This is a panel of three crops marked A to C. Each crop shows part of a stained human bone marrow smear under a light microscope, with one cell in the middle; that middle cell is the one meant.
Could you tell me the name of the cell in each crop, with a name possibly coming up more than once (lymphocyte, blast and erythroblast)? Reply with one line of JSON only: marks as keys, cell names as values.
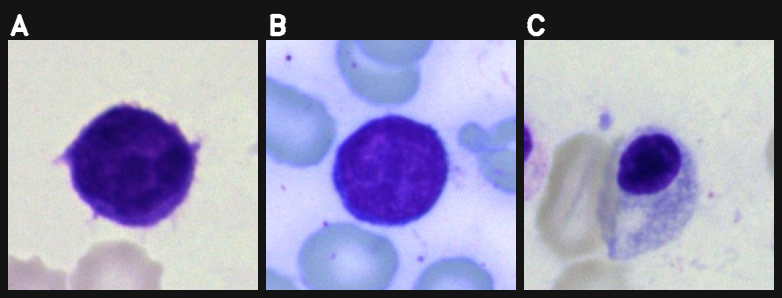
{"A": "blast", "B": "lymphocyte", "C": "erythroblast"}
